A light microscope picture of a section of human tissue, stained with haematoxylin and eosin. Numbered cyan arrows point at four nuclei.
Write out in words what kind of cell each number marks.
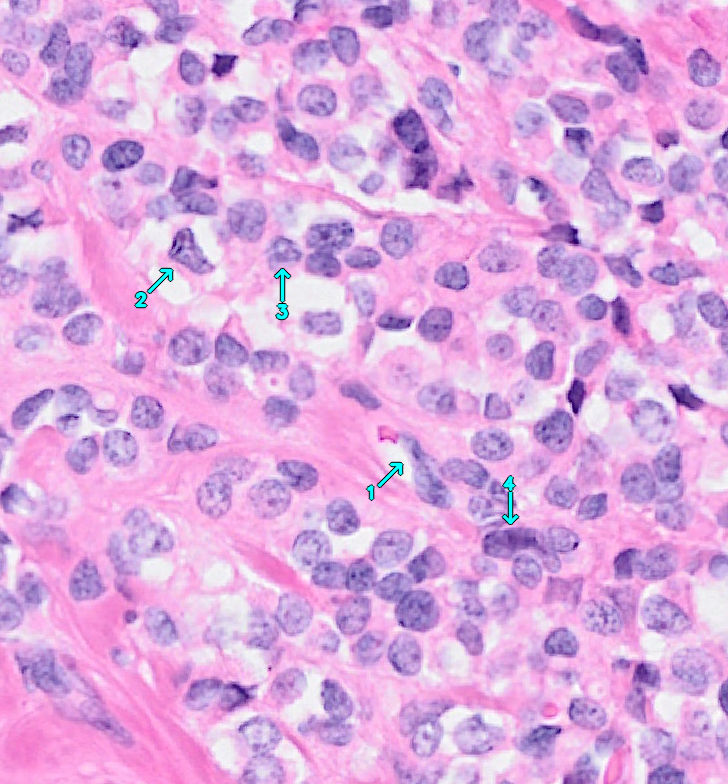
Cell 1 is an endothelial cell. Cells 2, 3 and 4 are carcinoma cells.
